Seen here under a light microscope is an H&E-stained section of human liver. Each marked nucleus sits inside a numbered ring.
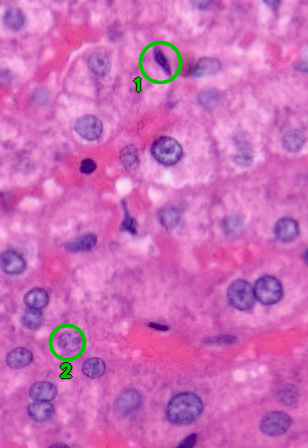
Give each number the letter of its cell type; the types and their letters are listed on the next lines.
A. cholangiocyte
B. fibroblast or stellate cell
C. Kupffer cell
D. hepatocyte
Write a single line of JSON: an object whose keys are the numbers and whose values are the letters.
{"1": "B", "2": "D"}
